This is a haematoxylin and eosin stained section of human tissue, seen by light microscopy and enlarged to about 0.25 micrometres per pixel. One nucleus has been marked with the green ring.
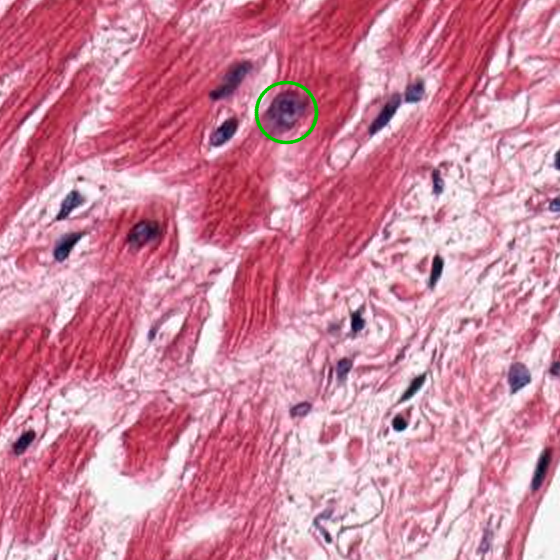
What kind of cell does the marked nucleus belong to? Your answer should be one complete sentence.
The marked nucleus is seen to belong to a cardiomyocyte.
